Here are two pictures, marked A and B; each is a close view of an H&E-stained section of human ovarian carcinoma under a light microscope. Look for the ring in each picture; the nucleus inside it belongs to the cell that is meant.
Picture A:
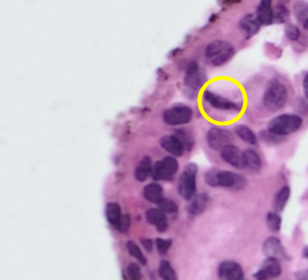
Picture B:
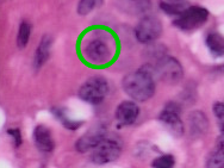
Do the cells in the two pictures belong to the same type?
no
